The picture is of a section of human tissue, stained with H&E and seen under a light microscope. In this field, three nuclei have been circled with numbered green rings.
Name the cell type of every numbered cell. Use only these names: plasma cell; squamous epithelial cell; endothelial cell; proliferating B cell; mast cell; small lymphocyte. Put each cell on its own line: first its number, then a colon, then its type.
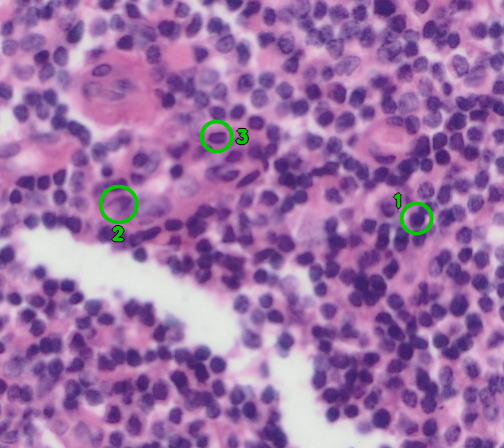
1: small lymphocyte
2: endothelial cell
3: endothelial cell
